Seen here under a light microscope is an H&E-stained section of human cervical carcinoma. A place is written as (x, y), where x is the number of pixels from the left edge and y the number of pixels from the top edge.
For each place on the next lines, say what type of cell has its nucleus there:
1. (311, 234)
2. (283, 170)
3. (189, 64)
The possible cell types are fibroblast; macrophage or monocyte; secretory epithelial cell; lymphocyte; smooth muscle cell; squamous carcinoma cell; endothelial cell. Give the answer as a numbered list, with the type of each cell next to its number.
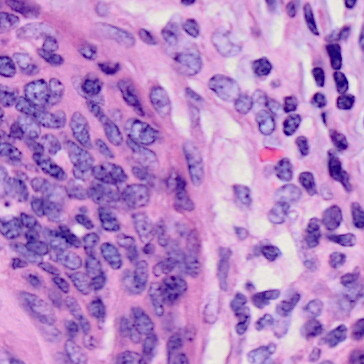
1. lymphocyte
2. endothelial cell
3. endothelial cell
